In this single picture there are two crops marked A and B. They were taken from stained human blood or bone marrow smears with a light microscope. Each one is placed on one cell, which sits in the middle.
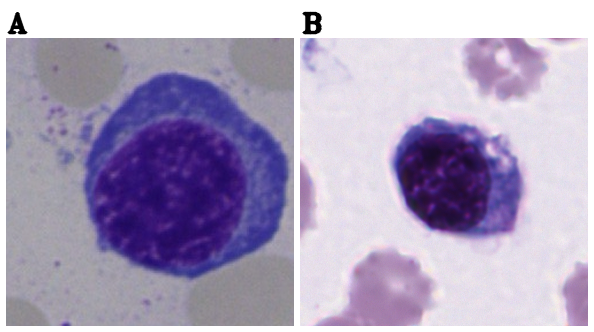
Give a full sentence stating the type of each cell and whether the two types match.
Yes, both crops are centred on plasma cells.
